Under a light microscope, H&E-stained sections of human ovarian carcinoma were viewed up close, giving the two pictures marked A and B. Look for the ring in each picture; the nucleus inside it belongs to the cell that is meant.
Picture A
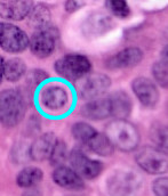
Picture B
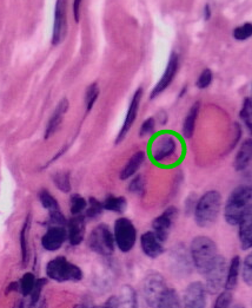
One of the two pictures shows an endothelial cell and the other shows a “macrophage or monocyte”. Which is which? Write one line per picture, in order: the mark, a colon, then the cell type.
A: macrophage or monocyte
B: endothelial cell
